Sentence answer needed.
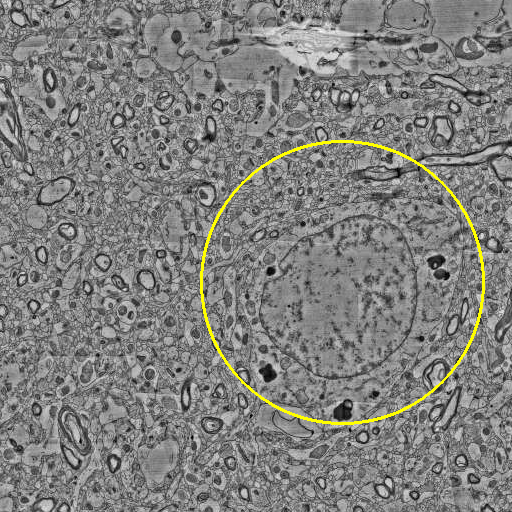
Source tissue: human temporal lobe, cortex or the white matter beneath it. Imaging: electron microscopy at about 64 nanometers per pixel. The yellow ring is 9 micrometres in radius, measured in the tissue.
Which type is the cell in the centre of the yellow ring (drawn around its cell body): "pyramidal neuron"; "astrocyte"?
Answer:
In the centre of the yellow ring is a pyramidal neuron.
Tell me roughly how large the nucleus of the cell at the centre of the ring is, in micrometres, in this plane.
Approximately 10 micrometers across in this plane.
